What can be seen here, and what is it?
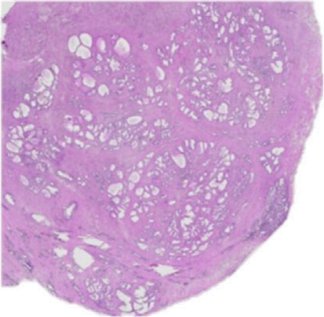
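This is a low-power view of prostate tissue stained pink and purple, filled with many glands whose clear, empty lumens stand out as white spaces. The glands vary from tiny round openings to larger irregular, dilated ones, and they are packed together in rounded clusters. Between and around these clusters runs solid pink, dense stroma that separates the groups of glands from one another. At this magnification single cells cannot be told apart; what is seen is the architecture of glands and surrounding stroma.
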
